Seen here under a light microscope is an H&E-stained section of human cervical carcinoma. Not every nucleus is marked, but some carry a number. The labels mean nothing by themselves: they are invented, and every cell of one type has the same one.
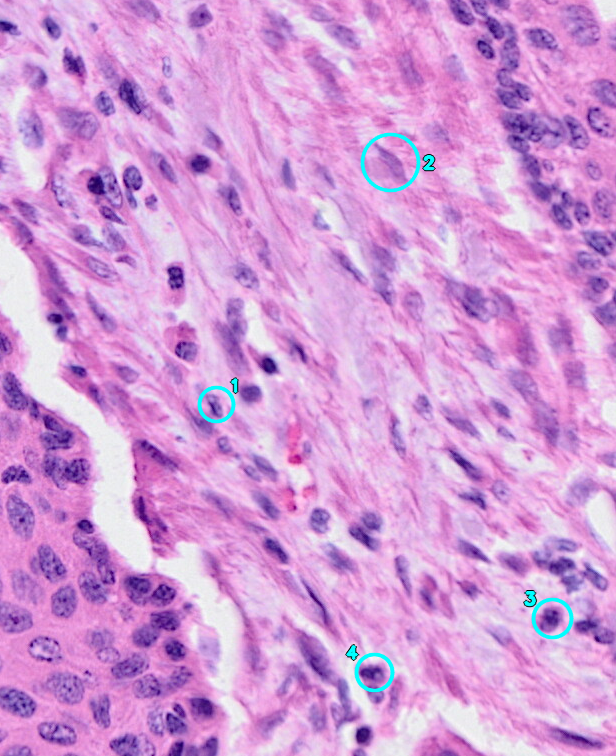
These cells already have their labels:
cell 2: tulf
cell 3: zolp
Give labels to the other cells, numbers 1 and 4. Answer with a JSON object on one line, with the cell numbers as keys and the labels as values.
{"1": "zolp", "4": "zolp"}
